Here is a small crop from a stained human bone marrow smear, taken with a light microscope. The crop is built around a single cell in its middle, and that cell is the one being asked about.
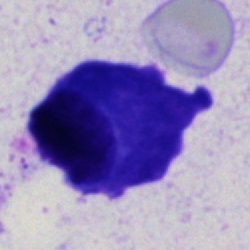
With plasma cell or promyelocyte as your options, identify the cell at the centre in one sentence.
The crop shows a plasma cell in its centre.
